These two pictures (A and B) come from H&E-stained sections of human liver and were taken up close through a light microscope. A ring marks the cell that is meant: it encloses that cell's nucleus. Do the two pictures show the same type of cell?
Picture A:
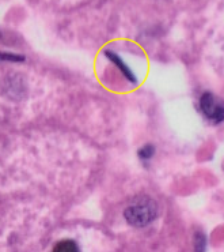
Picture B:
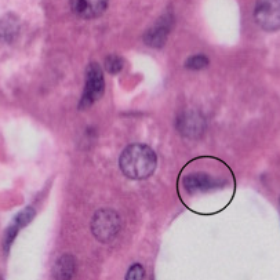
no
